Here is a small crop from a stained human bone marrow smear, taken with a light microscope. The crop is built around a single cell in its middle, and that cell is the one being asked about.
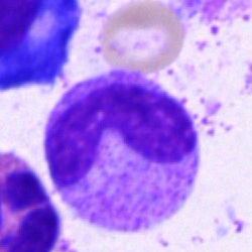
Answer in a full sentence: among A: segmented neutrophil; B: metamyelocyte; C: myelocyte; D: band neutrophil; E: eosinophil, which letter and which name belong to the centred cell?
Option D is to be chosen, as the central cell is a band neutrophil.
